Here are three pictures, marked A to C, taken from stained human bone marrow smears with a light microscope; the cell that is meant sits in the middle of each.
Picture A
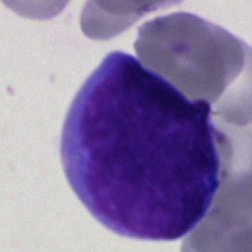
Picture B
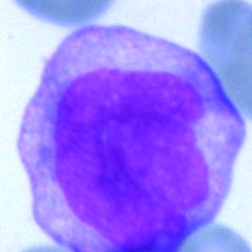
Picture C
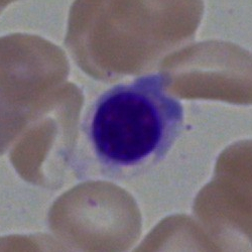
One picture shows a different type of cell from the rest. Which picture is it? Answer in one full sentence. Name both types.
The others show blasts, but picture C shows an erythroblast.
